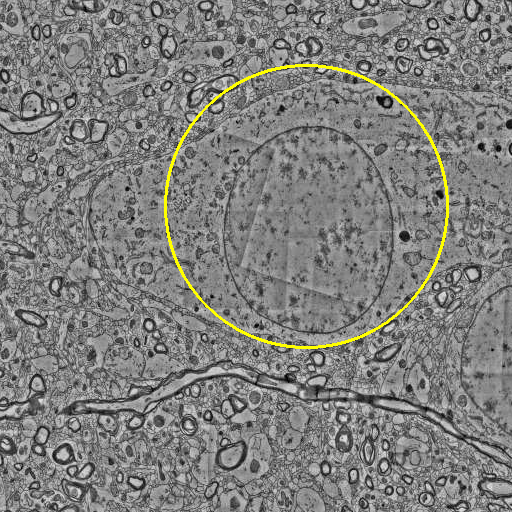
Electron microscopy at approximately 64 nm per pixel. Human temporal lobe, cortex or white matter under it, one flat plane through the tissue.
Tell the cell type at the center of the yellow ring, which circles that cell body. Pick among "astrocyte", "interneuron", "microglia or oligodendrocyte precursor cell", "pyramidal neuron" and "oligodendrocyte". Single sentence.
The ring is centered on the body of a pyramidal neuron.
